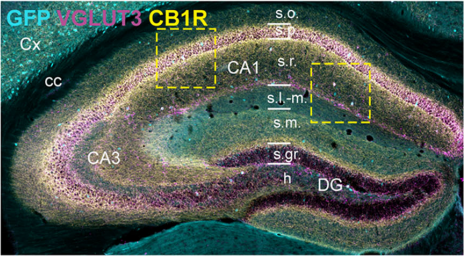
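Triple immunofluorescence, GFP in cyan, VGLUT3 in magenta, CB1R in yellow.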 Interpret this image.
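The network is brightest along the curved pyramidal cell layer, where magenta puncta overlap it and give a whitish hue. Scattered small cyan cell bodies lie within the layers.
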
